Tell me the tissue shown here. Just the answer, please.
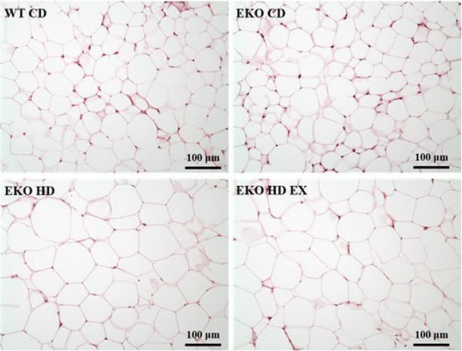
white adipose tissue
